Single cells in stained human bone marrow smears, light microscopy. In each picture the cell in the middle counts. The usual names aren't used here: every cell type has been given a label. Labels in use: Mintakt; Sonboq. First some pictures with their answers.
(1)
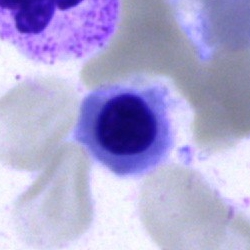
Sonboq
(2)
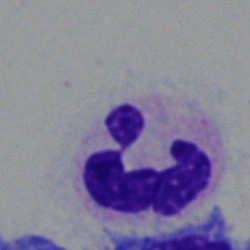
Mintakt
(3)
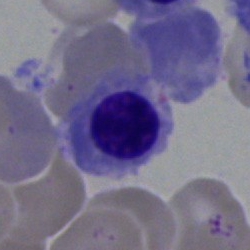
Sonboq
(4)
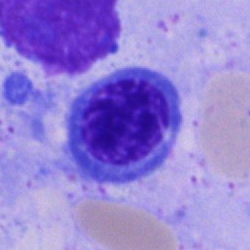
Sonboq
